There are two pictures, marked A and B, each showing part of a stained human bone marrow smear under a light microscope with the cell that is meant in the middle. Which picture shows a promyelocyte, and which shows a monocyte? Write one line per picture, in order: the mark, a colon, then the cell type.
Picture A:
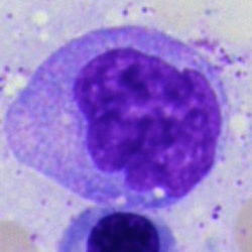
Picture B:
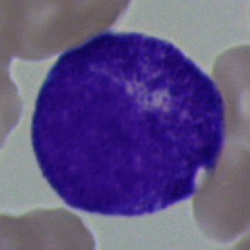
A: monocyte
B: promyelocyte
